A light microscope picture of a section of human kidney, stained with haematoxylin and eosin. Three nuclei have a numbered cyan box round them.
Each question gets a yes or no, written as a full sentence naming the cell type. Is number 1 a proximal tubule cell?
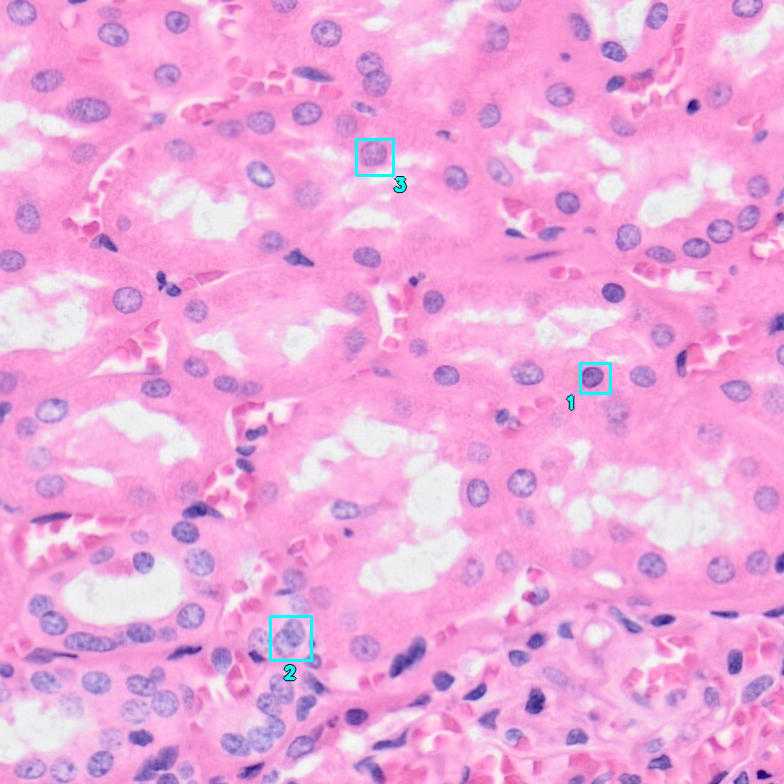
Yes, the cell that has number 1 is a proximal tubule cell.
